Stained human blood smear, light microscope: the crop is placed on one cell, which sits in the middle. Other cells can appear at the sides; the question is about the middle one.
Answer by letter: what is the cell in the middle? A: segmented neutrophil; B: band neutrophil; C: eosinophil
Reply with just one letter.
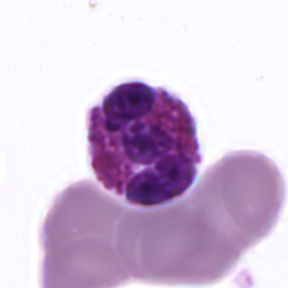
C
